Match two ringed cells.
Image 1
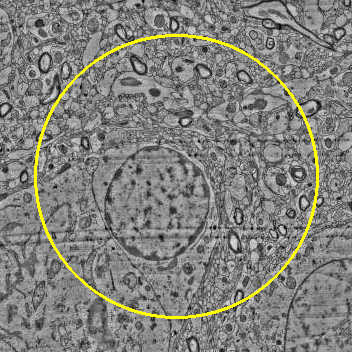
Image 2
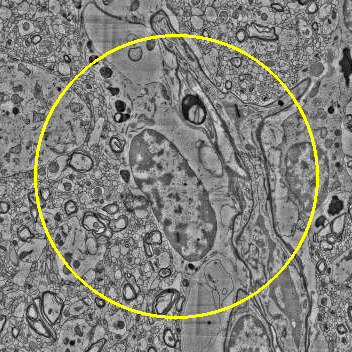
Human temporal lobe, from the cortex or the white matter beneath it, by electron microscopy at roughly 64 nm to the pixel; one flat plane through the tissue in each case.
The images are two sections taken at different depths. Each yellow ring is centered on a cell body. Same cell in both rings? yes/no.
no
